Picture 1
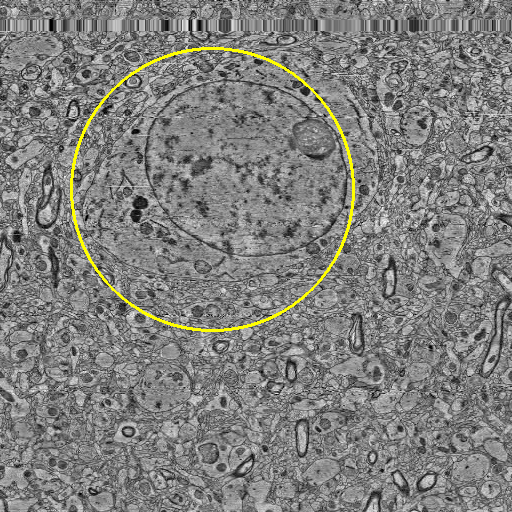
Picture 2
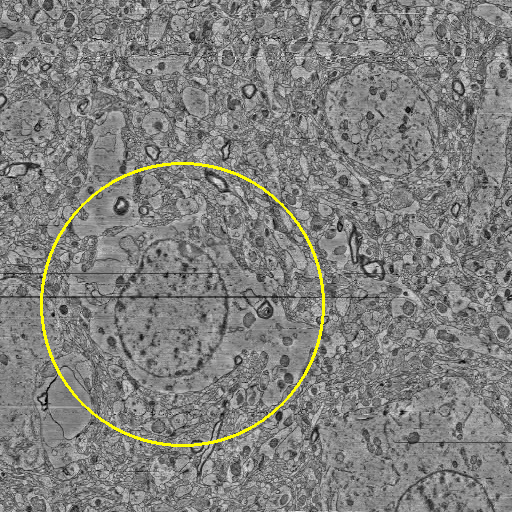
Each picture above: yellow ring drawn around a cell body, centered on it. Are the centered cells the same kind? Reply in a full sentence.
No, the two cells are two kinds of cell.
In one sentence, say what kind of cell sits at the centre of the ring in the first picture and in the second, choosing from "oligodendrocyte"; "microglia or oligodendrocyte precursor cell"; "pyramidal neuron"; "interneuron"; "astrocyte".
The first picture's ringed cell is a pyramidal neuron, while the second picture's is an astrocyte.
